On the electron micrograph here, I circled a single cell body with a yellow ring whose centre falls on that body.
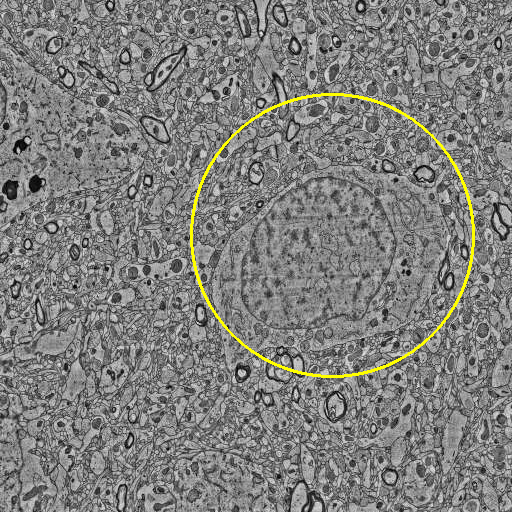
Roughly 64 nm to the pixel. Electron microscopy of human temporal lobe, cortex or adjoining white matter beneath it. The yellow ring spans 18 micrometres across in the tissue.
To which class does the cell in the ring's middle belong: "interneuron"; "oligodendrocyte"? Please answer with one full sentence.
In this picture, the cell body circled at the ring's centre belongs to an interneuron.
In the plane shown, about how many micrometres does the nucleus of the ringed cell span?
The nucleus has a long axis of about 11 micrometres and a short axis of about 9 micrometres in this plane.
